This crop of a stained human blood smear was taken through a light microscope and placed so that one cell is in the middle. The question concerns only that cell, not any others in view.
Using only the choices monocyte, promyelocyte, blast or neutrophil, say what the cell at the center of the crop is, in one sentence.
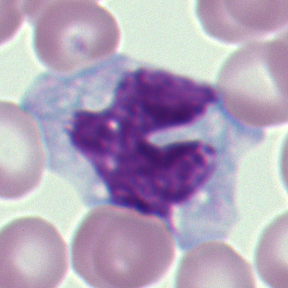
The cell of interest, in the center, is a monocyte.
